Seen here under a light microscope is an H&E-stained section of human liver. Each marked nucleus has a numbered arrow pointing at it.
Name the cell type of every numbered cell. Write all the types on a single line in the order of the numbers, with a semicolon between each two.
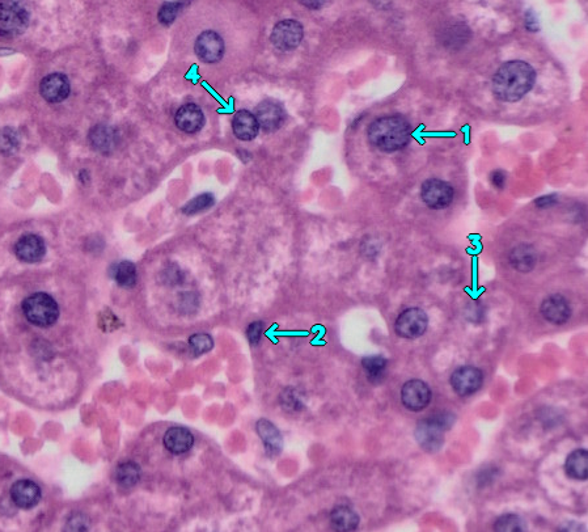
hepatocyte; fibroblast or stellate cell; hepatocyte; hepatocyte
